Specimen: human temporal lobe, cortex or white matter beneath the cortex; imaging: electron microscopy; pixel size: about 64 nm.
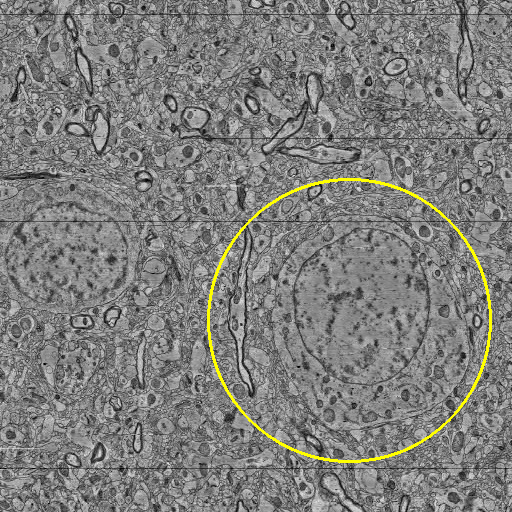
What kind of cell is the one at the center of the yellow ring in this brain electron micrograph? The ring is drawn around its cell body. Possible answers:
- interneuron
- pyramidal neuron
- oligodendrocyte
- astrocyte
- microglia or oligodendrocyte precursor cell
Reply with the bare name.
pyramidal neuron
